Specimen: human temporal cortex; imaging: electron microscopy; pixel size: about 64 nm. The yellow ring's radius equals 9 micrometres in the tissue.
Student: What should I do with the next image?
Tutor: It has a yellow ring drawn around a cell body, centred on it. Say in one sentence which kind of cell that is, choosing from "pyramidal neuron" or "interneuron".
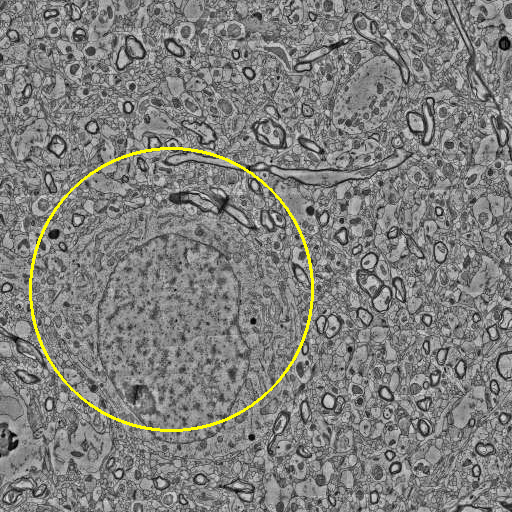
The ring's centre is occupied by an interneuron.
